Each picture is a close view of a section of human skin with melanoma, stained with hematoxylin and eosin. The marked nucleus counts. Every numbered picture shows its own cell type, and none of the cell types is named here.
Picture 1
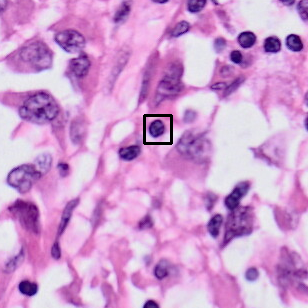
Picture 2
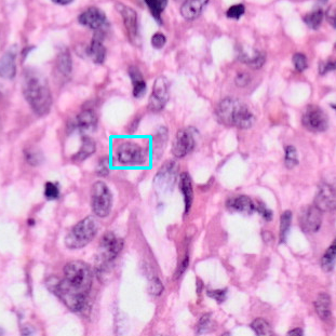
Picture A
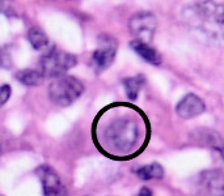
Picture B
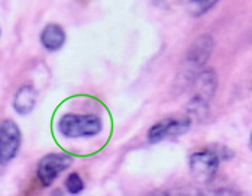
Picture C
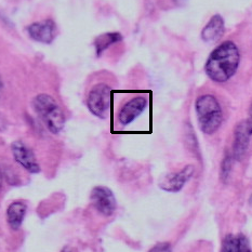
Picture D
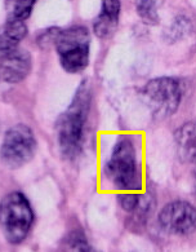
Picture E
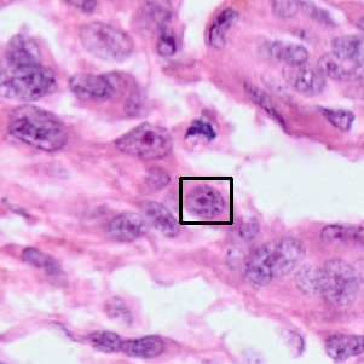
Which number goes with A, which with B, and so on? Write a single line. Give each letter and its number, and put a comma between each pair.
A 2, B 1, C 2, D 2, E 2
